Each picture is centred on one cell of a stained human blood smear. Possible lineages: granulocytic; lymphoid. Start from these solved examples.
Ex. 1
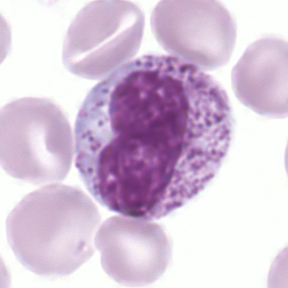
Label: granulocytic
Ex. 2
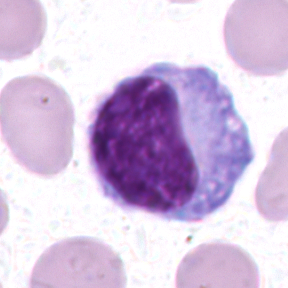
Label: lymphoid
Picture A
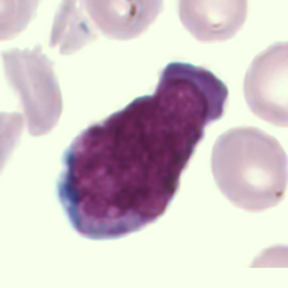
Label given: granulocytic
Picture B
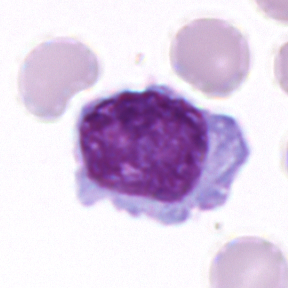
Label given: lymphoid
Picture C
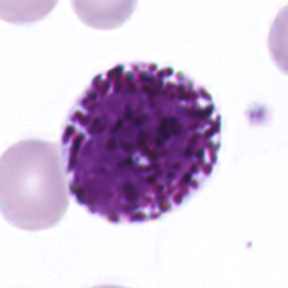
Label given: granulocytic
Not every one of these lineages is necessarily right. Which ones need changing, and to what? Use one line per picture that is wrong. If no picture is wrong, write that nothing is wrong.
All labels are correct.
